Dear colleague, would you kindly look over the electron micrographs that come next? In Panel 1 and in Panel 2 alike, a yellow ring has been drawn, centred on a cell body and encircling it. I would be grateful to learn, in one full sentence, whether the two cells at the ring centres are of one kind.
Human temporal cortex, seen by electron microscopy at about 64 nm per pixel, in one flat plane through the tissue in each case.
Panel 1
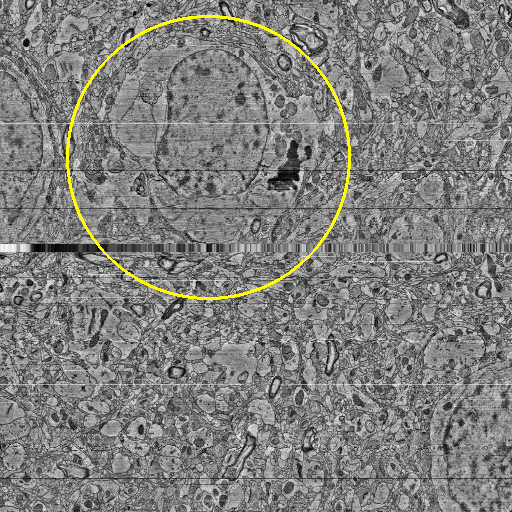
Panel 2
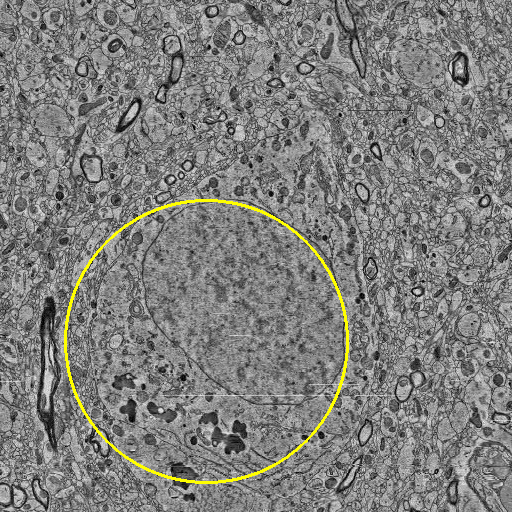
No, the cells in the middle of the rings in the two panels are of two kinds.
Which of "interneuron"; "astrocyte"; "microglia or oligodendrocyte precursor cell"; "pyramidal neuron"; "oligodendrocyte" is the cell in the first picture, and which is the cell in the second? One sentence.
The two differ: the first cell is an astrocyte and the second is a pyramidal neuron.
